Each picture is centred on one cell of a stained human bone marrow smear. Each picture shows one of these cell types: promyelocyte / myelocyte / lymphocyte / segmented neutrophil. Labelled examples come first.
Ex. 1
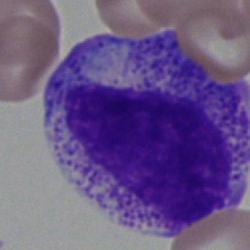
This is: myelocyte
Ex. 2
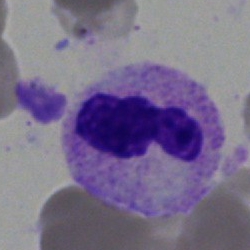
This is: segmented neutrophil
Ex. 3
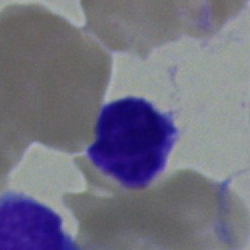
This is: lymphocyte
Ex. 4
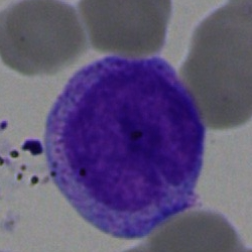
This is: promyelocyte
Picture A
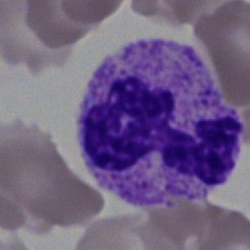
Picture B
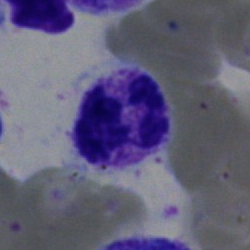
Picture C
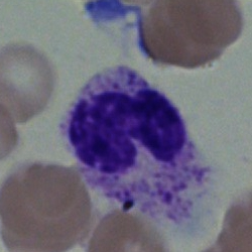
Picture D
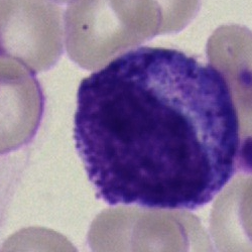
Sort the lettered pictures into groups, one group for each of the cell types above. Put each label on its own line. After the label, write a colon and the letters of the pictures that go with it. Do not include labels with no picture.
myelocyte: D
segmented neutrophil: A, B, C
